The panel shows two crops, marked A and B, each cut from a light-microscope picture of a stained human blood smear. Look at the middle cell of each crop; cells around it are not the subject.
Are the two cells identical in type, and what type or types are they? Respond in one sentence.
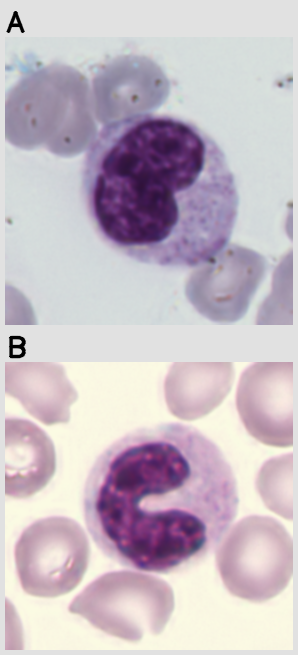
No, shown in crop A is a metamyelocyte, and shown in crop B is a band neutrophil.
